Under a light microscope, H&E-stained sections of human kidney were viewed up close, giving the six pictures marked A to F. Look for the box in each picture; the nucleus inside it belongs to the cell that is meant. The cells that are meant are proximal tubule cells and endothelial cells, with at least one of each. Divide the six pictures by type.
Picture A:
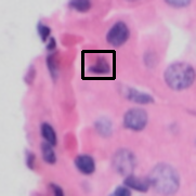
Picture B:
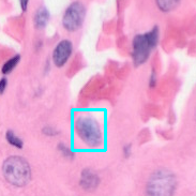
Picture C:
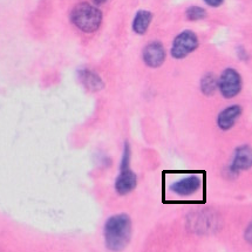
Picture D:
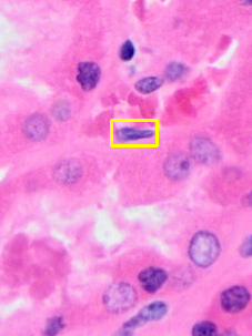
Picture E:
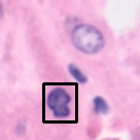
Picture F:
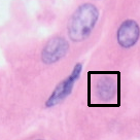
A: endothelial cell
B: endothelial cell
C: endothelial cell
D: endothelial cell
E: proximal tubule cell
F: proximal tubule cell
